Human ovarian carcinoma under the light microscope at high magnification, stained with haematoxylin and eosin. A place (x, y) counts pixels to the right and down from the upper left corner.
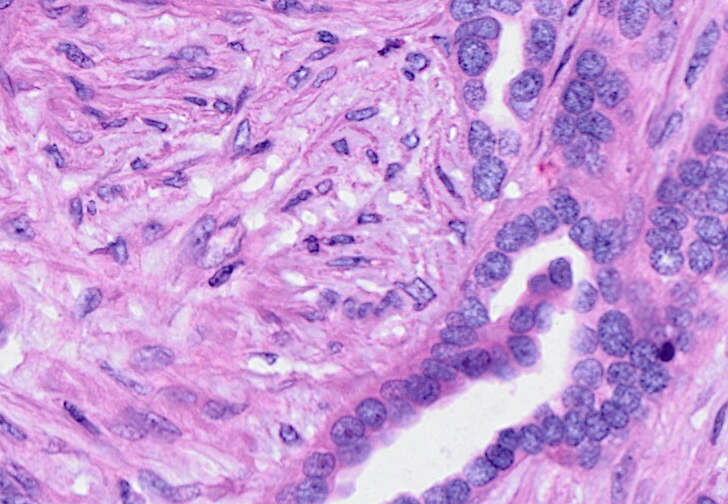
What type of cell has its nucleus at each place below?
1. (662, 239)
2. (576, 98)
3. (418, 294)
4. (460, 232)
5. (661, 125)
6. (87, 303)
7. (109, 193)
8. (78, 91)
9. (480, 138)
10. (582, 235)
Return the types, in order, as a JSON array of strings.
["carcinoma cell", "carcinoma cell", "fibroblast", "fibroblast", "fibroblast", "fibroblast", "fibroblast", "fibroblast", "carcinoma cell", "carcinoma cell"]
